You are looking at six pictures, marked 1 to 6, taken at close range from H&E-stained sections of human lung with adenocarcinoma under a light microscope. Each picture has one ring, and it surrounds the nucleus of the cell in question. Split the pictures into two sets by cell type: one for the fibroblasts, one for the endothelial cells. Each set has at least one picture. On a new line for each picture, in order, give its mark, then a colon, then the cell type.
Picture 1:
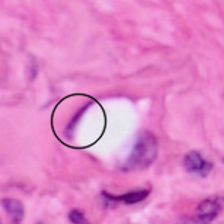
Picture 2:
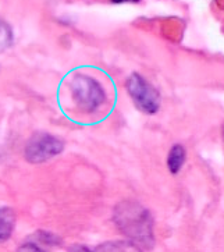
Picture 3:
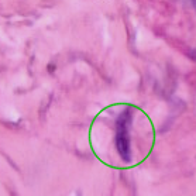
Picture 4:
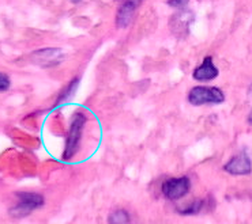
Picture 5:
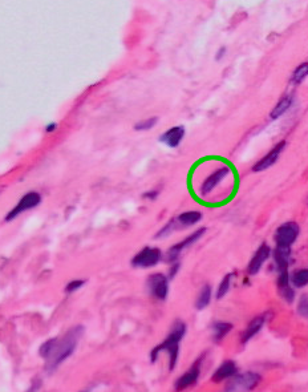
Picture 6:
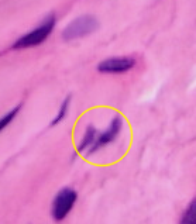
1: endothelial cell
2: fibroblast
3: fibroblast
4: endothelial cell
5: endothelial cell
6: fibroblast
